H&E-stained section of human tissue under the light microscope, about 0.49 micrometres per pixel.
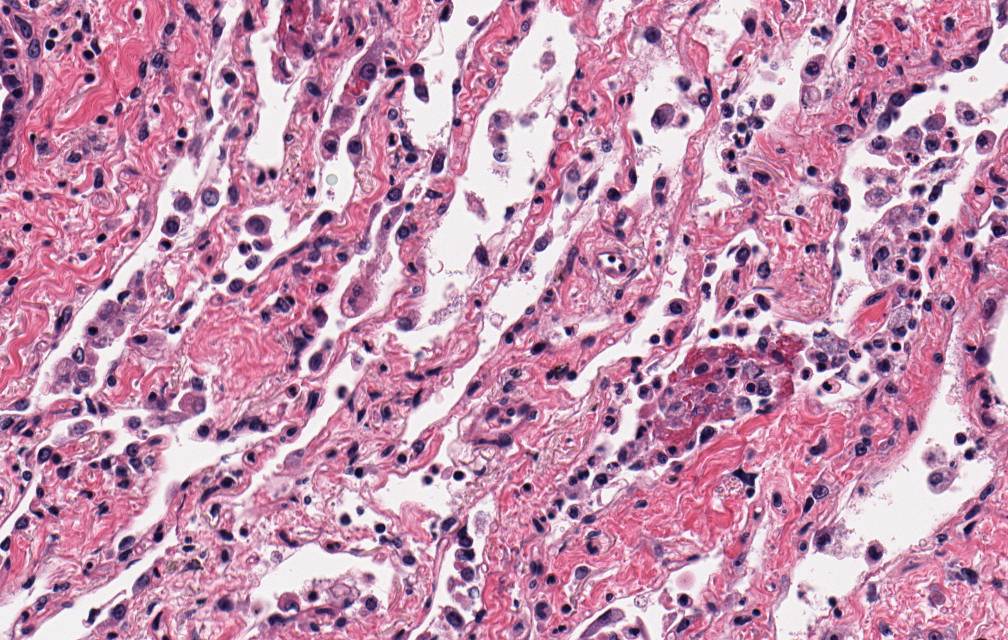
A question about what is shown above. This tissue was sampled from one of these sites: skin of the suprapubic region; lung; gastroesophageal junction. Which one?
lung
